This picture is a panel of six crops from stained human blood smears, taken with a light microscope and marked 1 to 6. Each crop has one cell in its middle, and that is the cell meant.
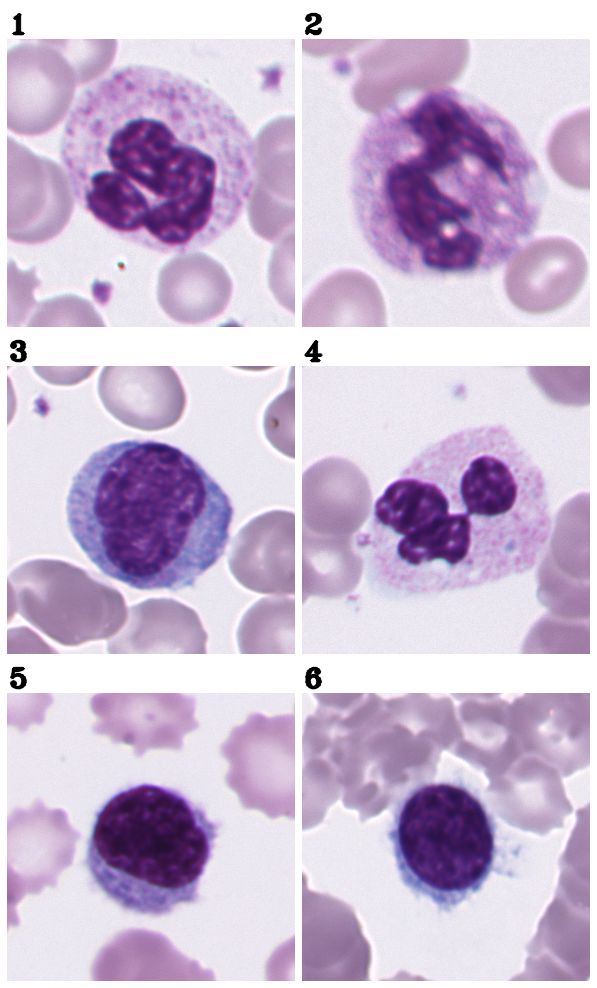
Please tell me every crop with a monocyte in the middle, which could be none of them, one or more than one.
3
